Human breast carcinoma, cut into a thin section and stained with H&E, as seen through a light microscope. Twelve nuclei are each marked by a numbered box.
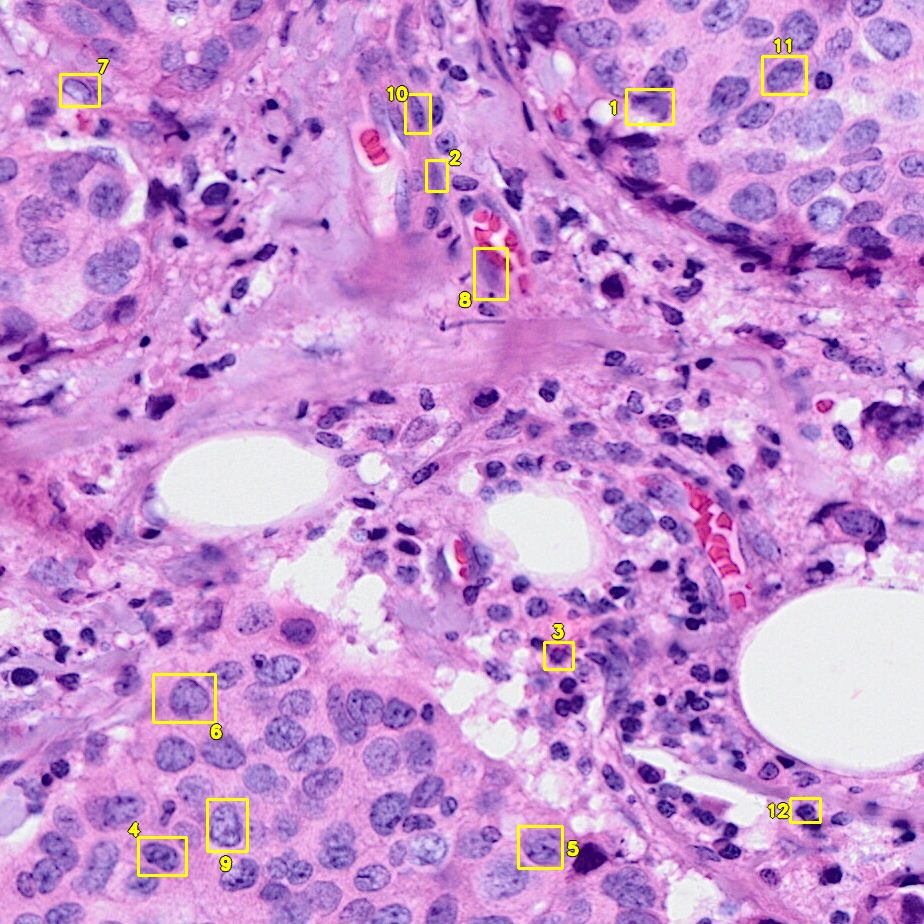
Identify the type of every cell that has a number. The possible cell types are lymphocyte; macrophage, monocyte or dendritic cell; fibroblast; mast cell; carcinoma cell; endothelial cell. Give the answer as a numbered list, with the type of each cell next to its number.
1. carcinoma cell
2. endothelial cell
3. lymphocyte
4. carcinoma cell
5. carcinoma cell
6. carcinoma cell
7. endothelial cell
8. endothelial cell
9. carcinoma cell
10. endothelial cell
11. carcinoma cell
12. lymphocyte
